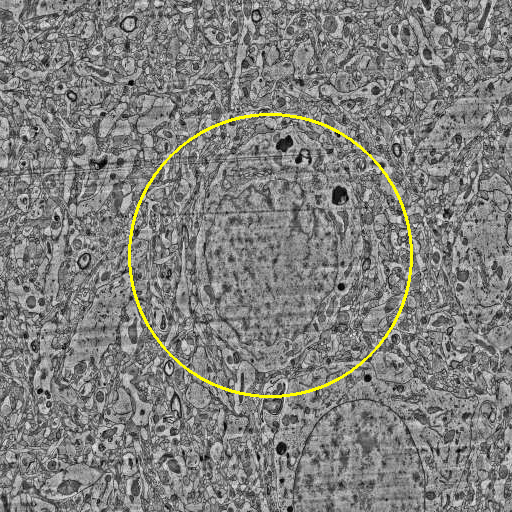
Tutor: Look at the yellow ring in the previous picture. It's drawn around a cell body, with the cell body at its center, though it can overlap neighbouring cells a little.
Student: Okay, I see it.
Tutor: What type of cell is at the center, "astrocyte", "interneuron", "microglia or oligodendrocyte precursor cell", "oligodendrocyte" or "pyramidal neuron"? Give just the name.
interneuron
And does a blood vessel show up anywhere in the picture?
No, the picture includes no blood vessel.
